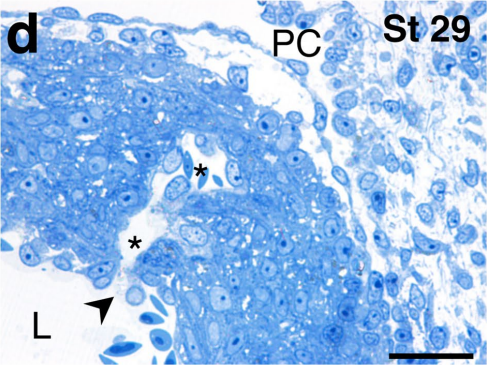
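A thick wall of tightly packed, rounded to polygonal cells with pale blue cytoplasm and round nuclei holding dark nucleoli stretches from the lumen at lower left to a loose outer layer facing the pericardial cavity. Within this wall lie small clear spaces, one of which opens to the lumen through a narrow gap, and a few dark oval blood cells sit near that opening. Outside the wall a looser tissue of scattered, elongated and rounded cells fills the upper right. This is developing ventricular myocardium in which intramyocardial cavities are forming and connecting with the ventricular lumen.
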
